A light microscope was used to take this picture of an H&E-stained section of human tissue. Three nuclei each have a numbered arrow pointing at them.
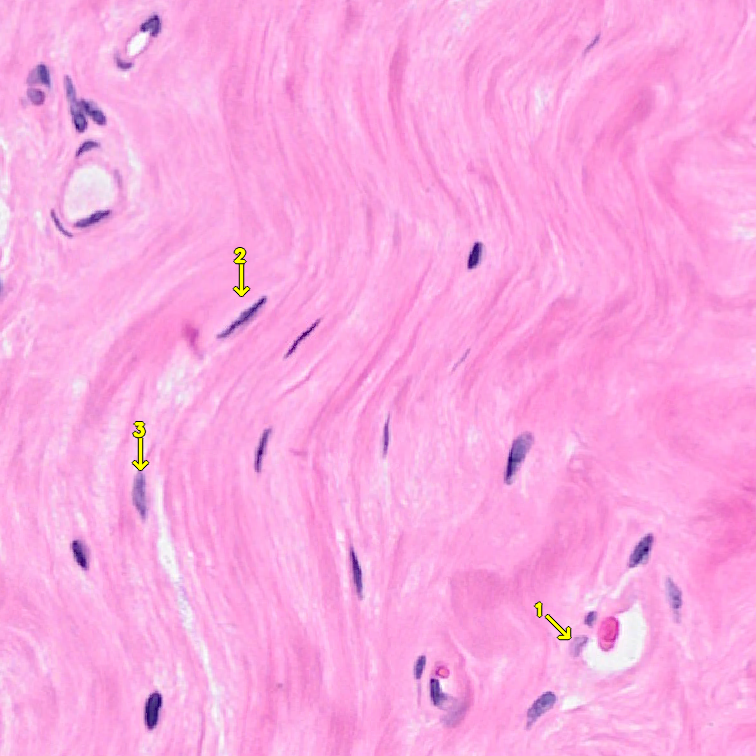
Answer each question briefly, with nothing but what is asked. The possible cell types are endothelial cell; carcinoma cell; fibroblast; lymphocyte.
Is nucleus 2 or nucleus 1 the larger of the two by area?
2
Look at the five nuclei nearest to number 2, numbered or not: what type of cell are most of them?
fibroblast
